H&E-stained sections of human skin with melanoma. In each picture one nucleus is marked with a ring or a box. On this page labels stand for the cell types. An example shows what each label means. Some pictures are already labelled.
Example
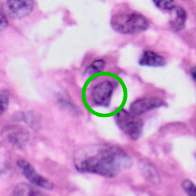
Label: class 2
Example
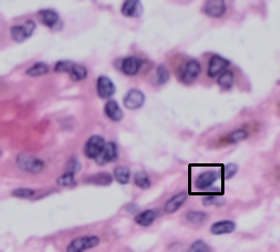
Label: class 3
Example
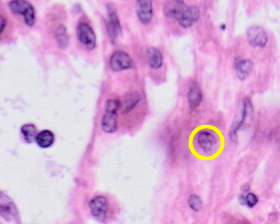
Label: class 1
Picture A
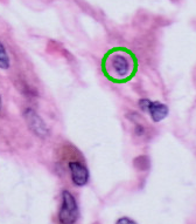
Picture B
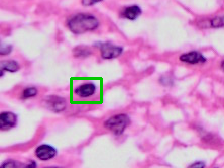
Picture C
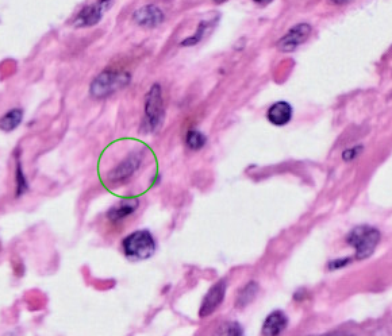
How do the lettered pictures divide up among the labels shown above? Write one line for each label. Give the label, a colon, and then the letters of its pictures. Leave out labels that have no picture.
class 3: A, B
class 1: C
